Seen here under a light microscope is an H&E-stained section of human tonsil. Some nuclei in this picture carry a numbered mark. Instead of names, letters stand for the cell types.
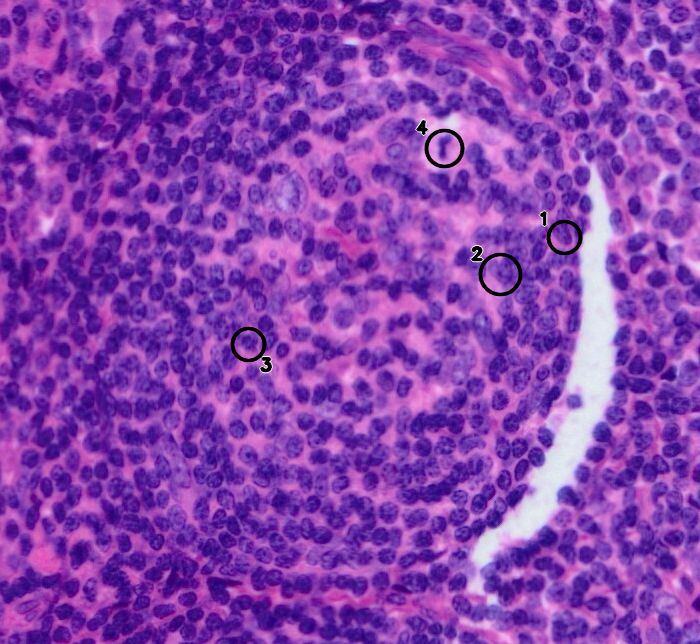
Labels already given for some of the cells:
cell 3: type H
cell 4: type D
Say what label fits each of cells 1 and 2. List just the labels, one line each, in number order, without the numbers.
type H
type D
